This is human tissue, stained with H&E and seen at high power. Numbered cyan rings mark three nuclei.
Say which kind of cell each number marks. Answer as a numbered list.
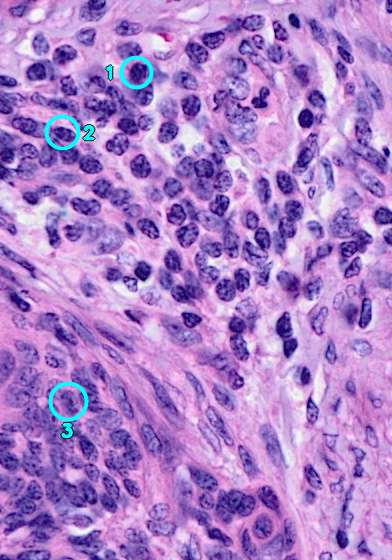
1. lymphocyte
2. lymphocyte
3. squamous carcinoma cell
